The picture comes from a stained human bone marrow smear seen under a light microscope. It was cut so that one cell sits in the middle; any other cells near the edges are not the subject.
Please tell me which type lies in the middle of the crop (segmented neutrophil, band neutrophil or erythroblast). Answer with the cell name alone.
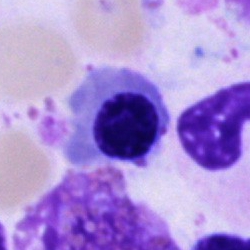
erythroblast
